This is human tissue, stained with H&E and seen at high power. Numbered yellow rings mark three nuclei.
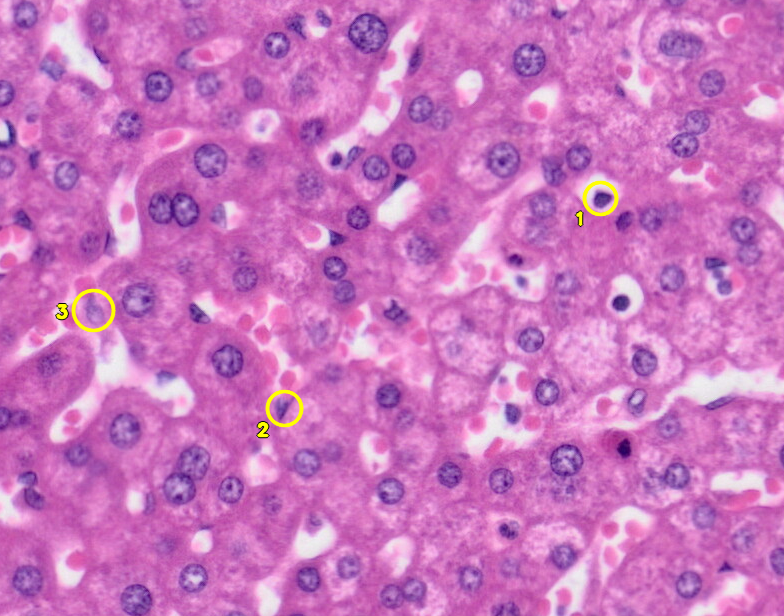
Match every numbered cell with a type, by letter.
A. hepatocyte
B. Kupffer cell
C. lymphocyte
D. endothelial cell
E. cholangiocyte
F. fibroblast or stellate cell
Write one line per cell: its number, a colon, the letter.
1: C
2: F
3: B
